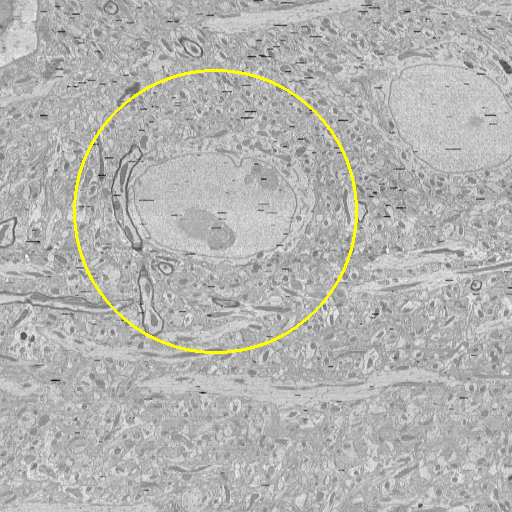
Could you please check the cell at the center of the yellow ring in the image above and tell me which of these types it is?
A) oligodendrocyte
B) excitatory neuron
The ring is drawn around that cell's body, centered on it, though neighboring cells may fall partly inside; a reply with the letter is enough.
B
